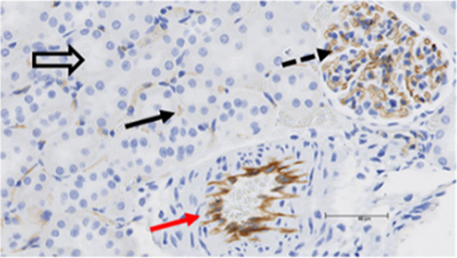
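This is renal cortex with a glomerulus, a small artery and surrounding tubules. The glomerulus at upper right is a round tuft whose capillary loops are outlined in brown, set inside a thin capsule with a clear space around it. Below, a vessel with a thick wall of concentric cells has a central lumen lined by an intensely brown layer, the endothelium. The tubules around consist of cuboidal epithelial cells with round blue nuclei and pale cytoplasm and stay unstained. Thin brown lines between the tubules mark small capillaries.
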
